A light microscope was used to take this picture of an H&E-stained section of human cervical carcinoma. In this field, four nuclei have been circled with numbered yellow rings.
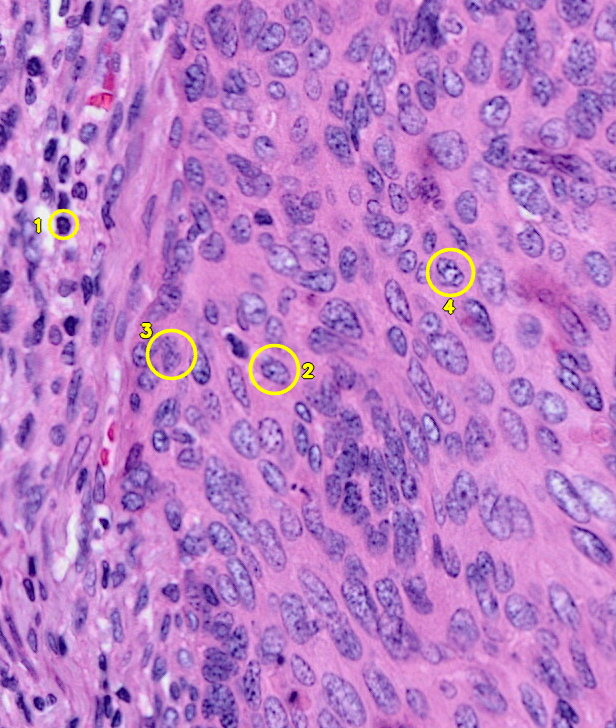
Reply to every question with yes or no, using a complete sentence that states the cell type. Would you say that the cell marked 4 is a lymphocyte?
No, cell 4 does not represent a lymphocyte; it represents a squamous carcinoma cell.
